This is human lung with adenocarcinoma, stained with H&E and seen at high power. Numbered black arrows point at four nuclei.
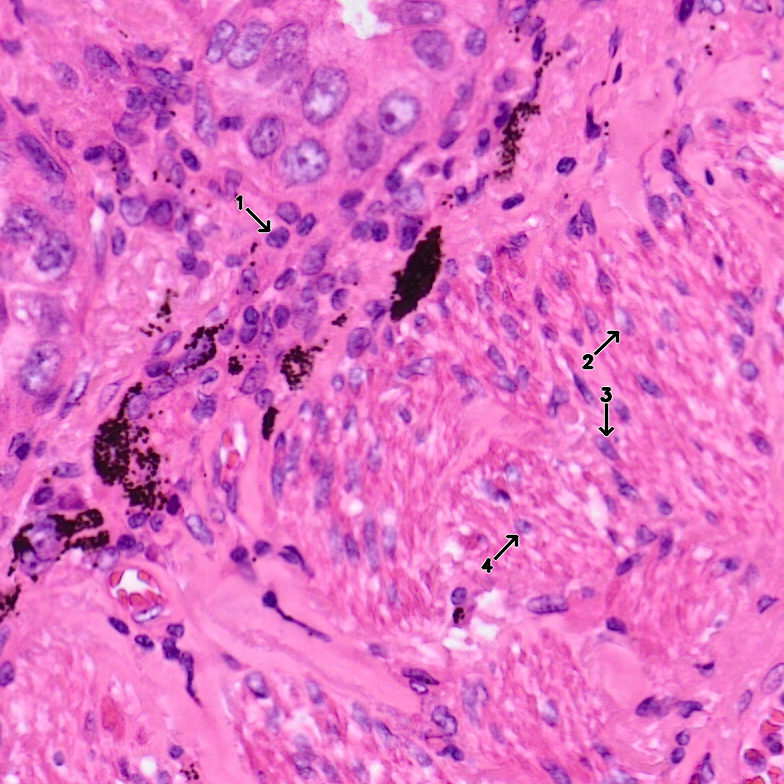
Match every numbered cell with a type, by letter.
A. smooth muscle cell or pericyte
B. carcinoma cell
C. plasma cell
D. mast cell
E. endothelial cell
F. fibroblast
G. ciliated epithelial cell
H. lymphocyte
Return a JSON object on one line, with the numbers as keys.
{"1": "H", "2": "A", "3": "A", "4": "A"}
